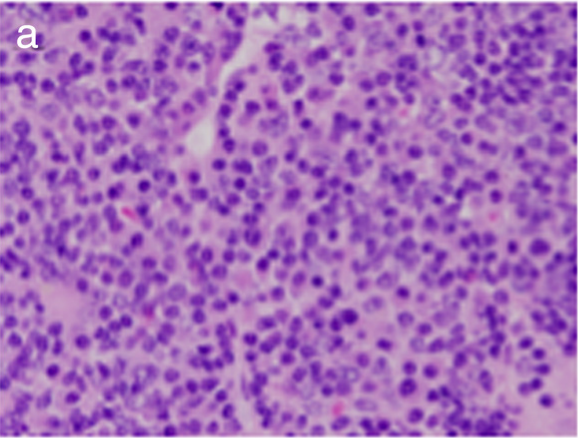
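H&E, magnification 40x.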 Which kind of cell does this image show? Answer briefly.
mature plasma cells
